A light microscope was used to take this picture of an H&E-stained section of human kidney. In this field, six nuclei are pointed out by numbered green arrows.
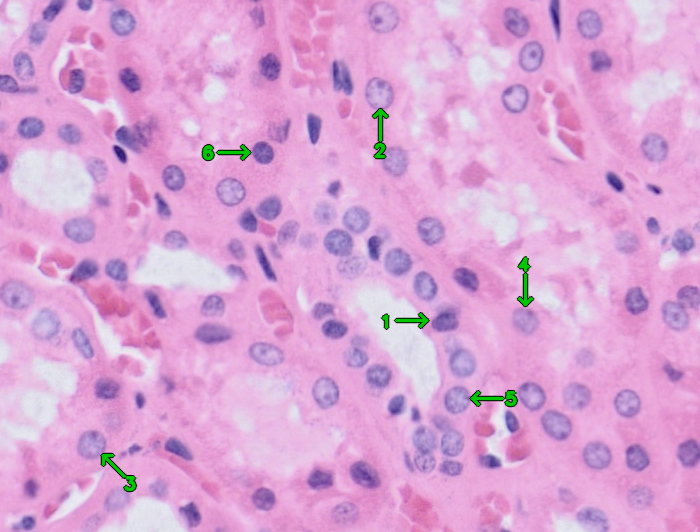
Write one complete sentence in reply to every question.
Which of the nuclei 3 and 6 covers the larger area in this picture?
Of the two, number 3 is bigger and takes up about 1.5 times the area of number 6.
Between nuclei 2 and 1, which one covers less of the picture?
Number 1 is smaller, since number 2 takes up about 1.5 times as much area.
